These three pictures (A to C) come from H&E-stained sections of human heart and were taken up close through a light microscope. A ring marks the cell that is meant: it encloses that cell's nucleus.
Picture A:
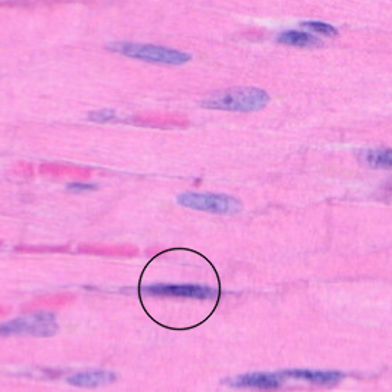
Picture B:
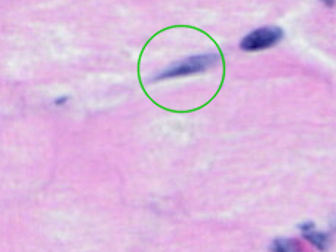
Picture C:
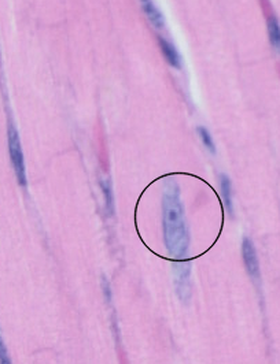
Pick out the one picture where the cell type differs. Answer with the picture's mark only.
C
